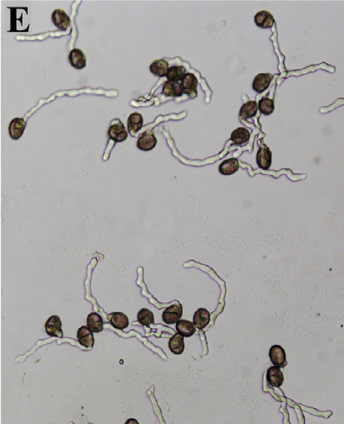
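The grains are small, oval and dark brown, scattered singly and in loose clusters across the field. From many grains a single long, pale, narrow tube grows out, its outline slightly wavy, and the tubes run in various directions, some crossing one another. The tubes are many times the length of a grain and of fairly even width along their length. A few grains show no tube, and some loose tube pieces lie apart from any grain.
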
